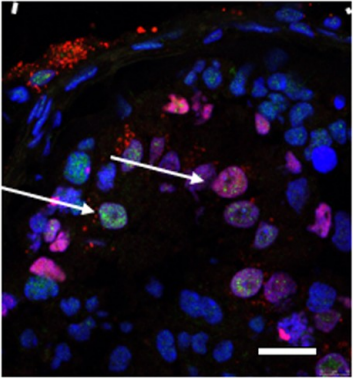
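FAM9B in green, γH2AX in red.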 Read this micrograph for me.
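This is the edge of a seminiferous tubule, with flattened elongated nuclei along the outer wall and larger round nuclei of spermatocytes further in. Several of these large round nuclei are filled with fine green speckles, some overlaid with red or pink, while other nuclei show only blue. A few compact, intensely red-pink nuclei stand out among them.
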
